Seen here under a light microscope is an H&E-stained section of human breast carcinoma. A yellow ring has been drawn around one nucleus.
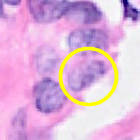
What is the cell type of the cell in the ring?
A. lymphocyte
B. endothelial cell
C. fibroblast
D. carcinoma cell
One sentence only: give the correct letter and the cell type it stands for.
Looking at the options, pick D; the cell in the ring is a carcinoma cell.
